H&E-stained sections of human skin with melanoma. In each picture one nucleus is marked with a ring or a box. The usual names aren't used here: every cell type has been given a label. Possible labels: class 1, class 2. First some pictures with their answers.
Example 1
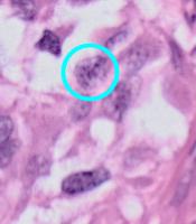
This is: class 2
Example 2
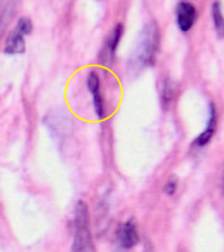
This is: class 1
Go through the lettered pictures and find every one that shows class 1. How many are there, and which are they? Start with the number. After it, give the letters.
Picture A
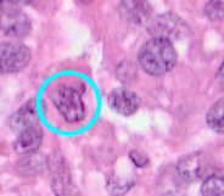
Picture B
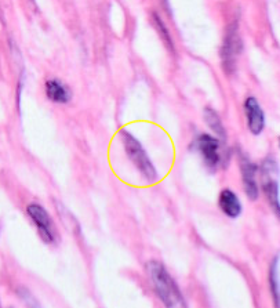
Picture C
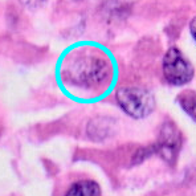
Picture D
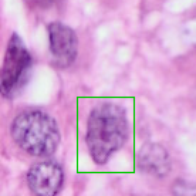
1: B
